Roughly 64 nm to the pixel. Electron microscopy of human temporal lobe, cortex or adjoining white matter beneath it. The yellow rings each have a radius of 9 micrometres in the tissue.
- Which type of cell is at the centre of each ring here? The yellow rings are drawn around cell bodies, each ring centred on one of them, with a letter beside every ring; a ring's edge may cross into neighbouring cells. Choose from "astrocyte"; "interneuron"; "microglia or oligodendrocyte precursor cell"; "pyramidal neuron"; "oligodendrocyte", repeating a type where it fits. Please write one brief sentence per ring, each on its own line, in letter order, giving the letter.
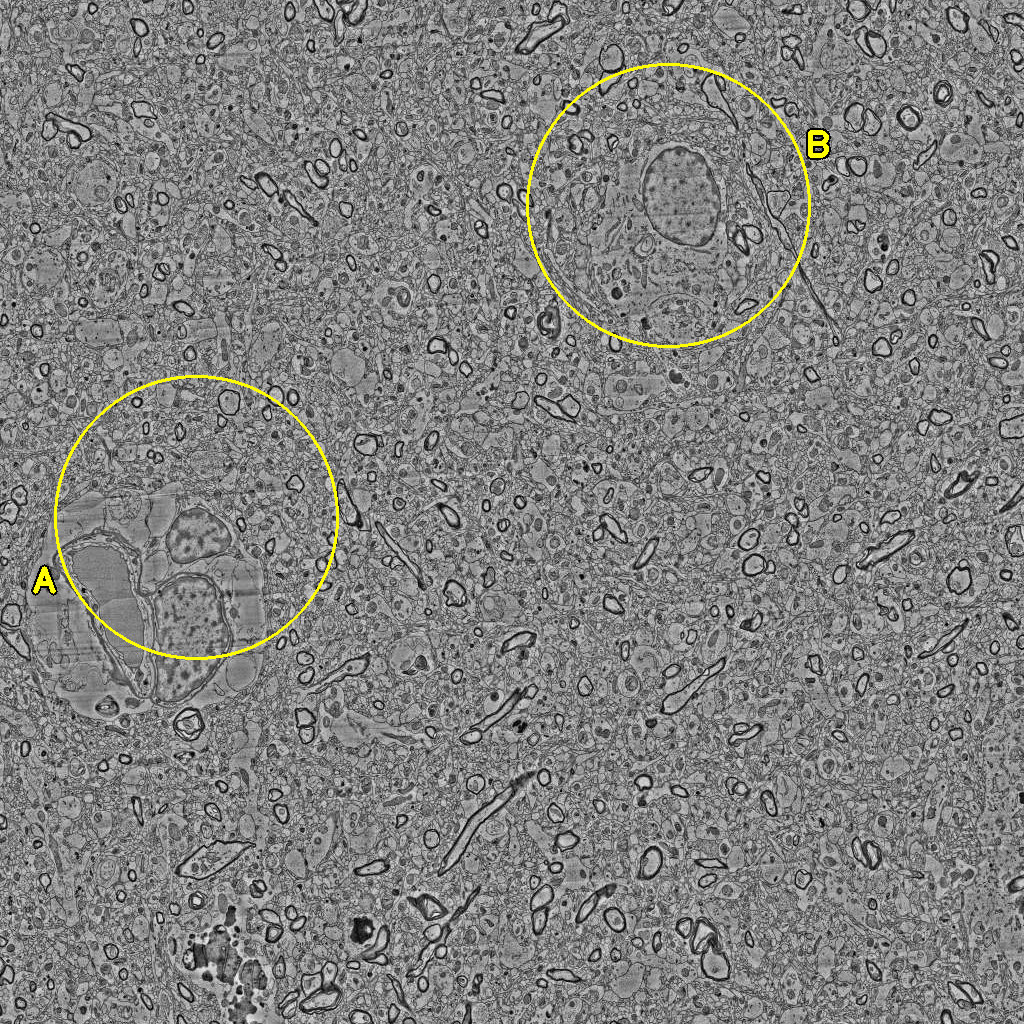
Ring A is centred over a microglial cell or oligodendrocyte precursor cell.
Ring B is centred over a microglial cell or oligodendrocyte precursor cell.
